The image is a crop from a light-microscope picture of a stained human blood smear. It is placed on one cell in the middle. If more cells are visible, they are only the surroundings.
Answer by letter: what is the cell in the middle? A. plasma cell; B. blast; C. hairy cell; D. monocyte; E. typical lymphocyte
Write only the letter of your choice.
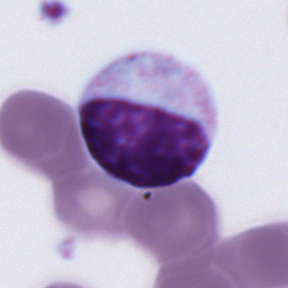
E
